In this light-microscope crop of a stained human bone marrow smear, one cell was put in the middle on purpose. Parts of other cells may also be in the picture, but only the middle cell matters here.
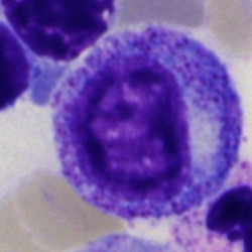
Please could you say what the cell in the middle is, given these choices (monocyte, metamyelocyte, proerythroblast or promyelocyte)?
promyelocyte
